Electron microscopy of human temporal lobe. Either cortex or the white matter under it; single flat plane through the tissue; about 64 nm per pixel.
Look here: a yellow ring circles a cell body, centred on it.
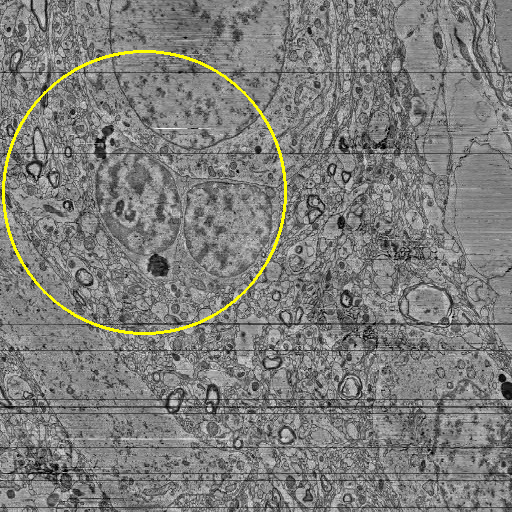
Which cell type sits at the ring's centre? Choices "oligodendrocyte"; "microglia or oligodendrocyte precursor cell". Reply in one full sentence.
The cell at the centre of the yellow ring in the picture is an oligodendrocyte.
